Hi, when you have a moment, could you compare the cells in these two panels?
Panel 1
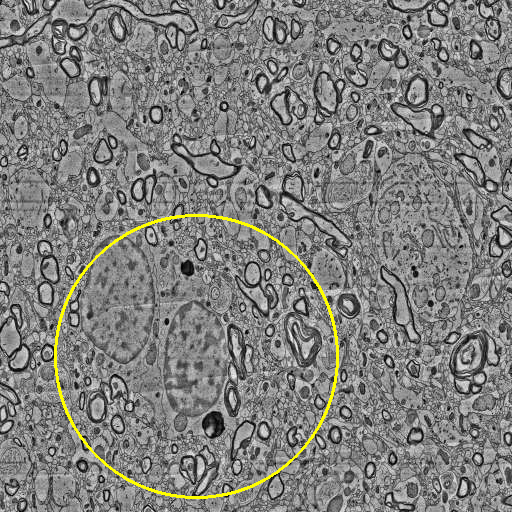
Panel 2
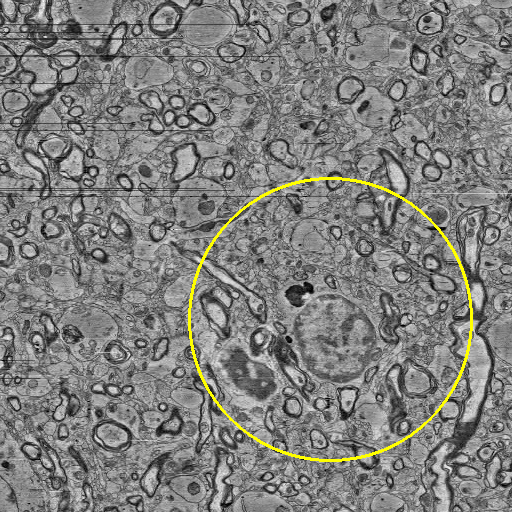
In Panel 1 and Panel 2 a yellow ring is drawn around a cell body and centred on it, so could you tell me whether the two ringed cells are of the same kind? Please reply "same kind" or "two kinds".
same kind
